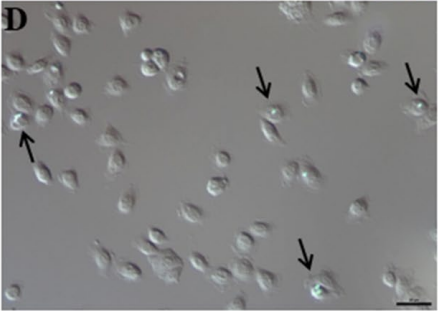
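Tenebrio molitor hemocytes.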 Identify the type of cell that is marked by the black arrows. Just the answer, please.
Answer: Phagocytes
